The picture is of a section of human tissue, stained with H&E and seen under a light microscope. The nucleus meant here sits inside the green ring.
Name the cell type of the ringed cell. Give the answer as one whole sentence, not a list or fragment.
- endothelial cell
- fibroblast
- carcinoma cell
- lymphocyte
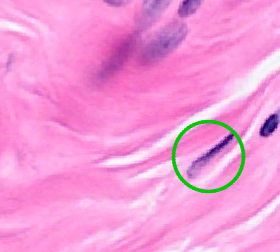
The classification of the ringed cell is as a fibroblast.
